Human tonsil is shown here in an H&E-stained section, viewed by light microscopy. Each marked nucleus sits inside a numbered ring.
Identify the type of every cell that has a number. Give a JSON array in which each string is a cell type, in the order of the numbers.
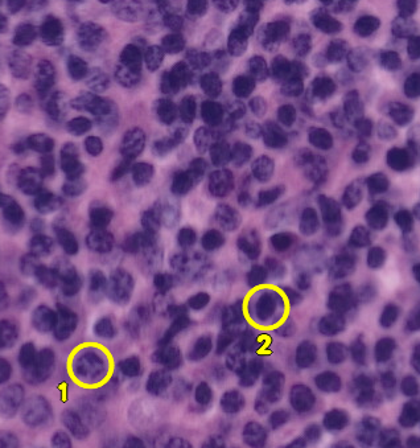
["plasma cell", "small lymphocyte"]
